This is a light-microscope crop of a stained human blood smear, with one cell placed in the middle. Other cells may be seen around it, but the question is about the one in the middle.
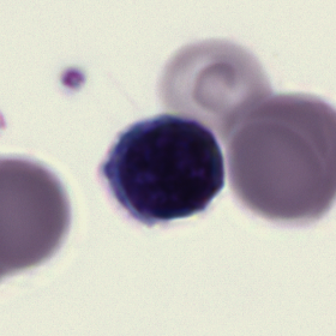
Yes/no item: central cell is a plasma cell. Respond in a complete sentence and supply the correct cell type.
Yes, the middle cell is properly termed a plasma cell.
